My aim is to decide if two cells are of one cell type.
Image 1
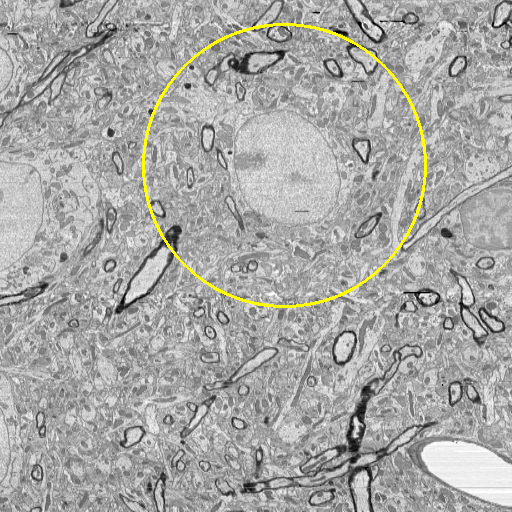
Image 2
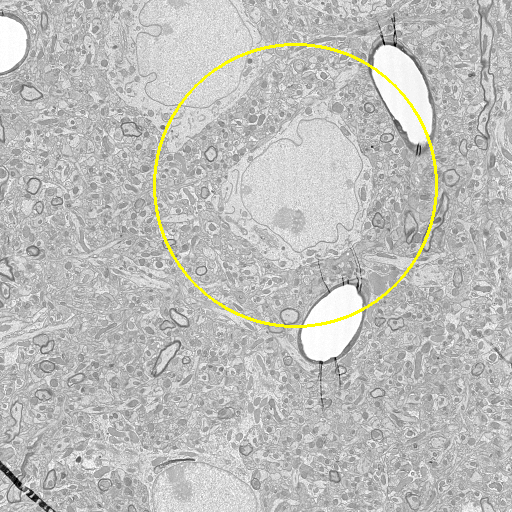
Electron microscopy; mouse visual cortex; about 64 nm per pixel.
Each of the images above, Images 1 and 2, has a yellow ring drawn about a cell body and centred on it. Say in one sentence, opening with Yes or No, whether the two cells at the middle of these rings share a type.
No, in Images 1 and 2 the cells at the middle of the rings fall into two types.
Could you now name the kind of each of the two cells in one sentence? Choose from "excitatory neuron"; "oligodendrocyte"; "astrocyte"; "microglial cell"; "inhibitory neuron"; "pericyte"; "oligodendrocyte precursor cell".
The first ring encloses an astrocyte; the second ring encloses an excitatory neuron.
